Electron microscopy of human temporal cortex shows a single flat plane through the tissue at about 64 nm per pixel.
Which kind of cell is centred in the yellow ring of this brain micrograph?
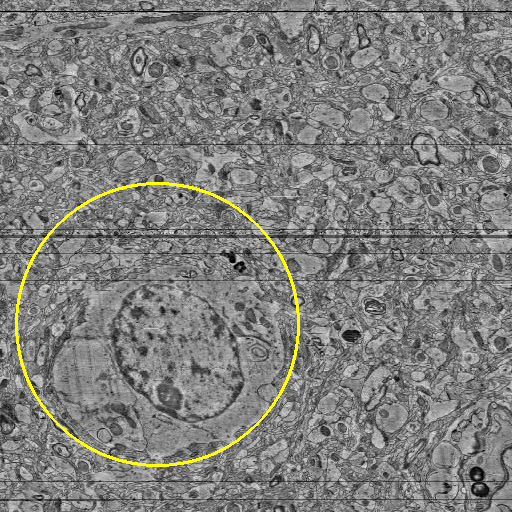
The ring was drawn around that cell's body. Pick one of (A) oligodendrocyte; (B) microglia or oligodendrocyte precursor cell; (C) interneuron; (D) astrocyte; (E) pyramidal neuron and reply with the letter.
D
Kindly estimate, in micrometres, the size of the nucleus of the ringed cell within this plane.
Approximately 10 x 8 micrometres in this plane.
